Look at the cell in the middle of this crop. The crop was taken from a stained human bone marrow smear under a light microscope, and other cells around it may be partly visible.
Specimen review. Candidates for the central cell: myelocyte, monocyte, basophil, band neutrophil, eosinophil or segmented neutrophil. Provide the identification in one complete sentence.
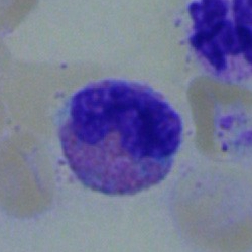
In the center of this field lies an eosinophil.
